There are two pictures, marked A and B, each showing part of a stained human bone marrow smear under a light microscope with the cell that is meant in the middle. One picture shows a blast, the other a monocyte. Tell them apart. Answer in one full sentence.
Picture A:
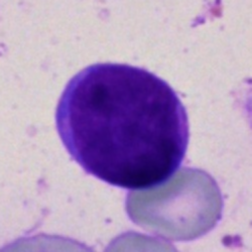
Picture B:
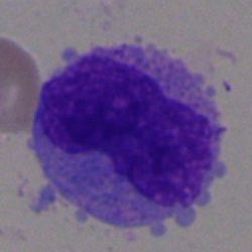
In picture A the cell is a blast; in picture B, a monocyte.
